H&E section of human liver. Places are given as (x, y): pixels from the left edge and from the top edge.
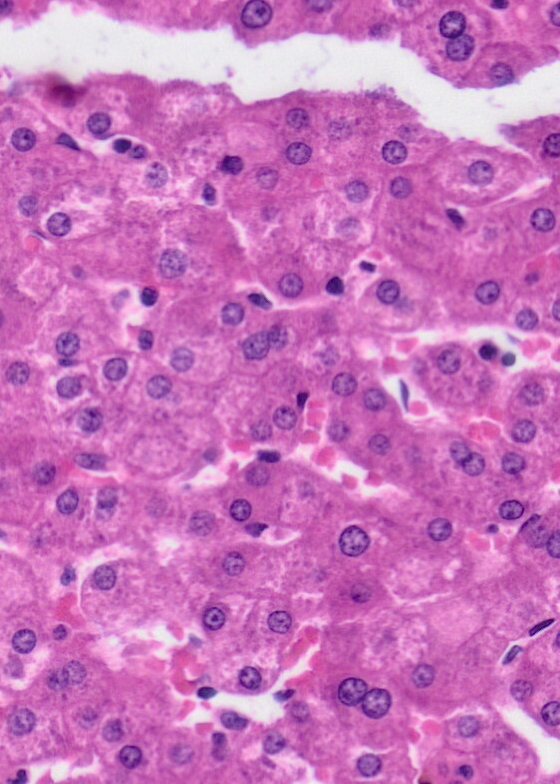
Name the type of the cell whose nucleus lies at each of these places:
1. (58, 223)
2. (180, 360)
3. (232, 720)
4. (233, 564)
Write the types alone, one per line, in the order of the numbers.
hepatocyte
hepatocyte
Kupffer cell
hepatocyte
